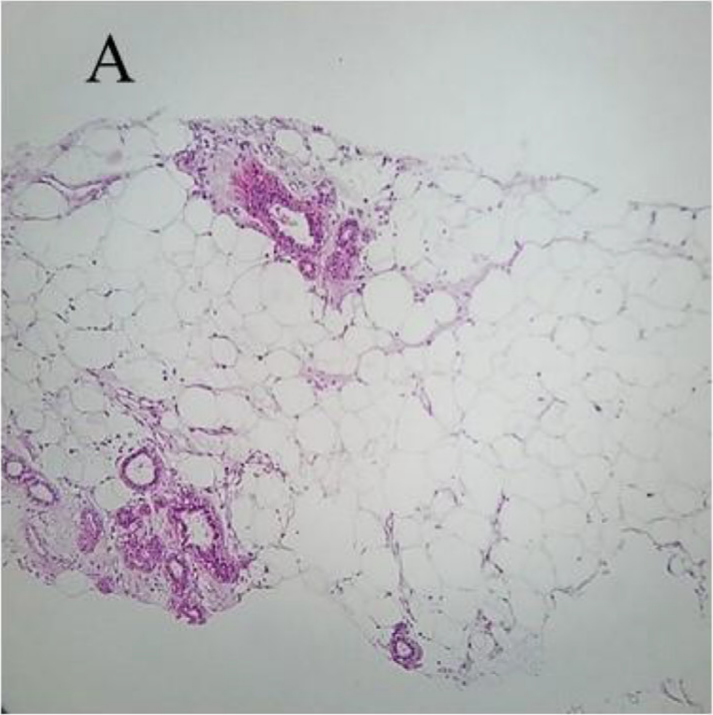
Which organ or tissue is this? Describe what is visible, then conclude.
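Adipose tissue. Most of the panel is large empty polygonal spaces bounded by thin pink membranes. Few small flattened nuclei sit at the edges of these spaces.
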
